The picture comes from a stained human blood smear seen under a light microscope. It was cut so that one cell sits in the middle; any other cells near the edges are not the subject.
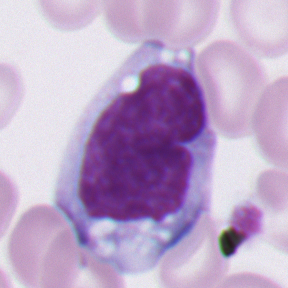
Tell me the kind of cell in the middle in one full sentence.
Of the cells in this crop, the central one is a monocyte.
